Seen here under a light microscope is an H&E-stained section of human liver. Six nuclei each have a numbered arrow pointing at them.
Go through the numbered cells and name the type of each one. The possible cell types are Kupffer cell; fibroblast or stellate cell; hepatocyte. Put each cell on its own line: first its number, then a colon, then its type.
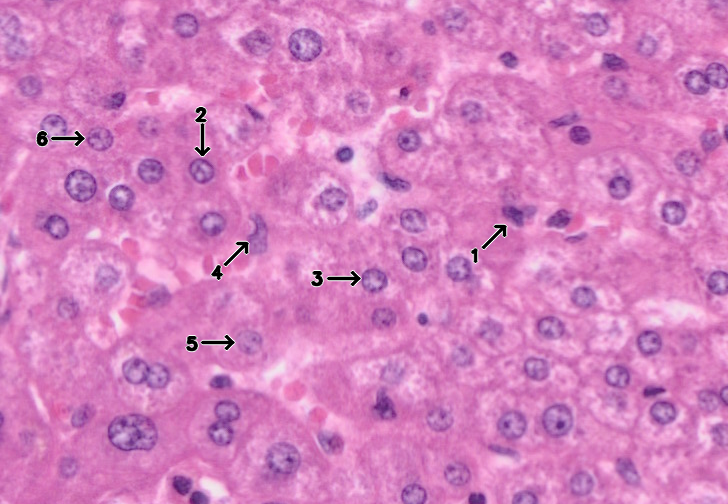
1: fibroblast or stellate cell
2: hepatocyte
3: hepatocyte
4: Kupffer cell
5: hepatocyte
6: hepatocyte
